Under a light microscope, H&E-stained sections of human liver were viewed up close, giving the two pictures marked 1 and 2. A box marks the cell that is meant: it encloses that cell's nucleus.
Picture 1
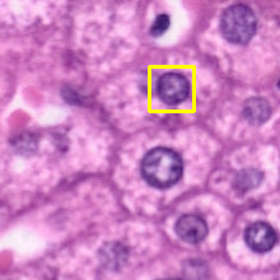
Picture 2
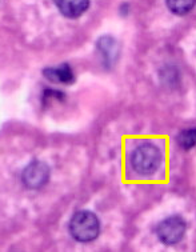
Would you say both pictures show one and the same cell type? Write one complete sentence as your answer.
Yes, both cells are hepatocytes.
